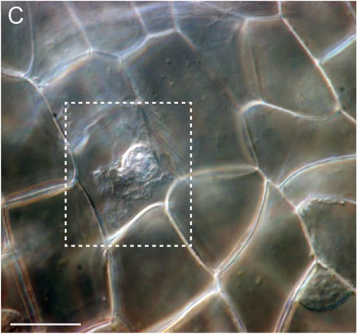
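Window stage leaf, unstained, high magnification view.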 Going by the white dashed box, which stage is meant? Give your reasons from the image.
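The cell inside the box has clumped, granular contents drawn away from its walls. The neighbouring cells are clear and empty-looking. On this evidence: dead epidermal cell.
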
